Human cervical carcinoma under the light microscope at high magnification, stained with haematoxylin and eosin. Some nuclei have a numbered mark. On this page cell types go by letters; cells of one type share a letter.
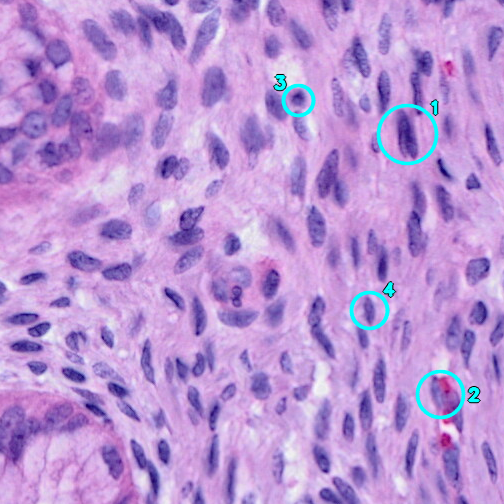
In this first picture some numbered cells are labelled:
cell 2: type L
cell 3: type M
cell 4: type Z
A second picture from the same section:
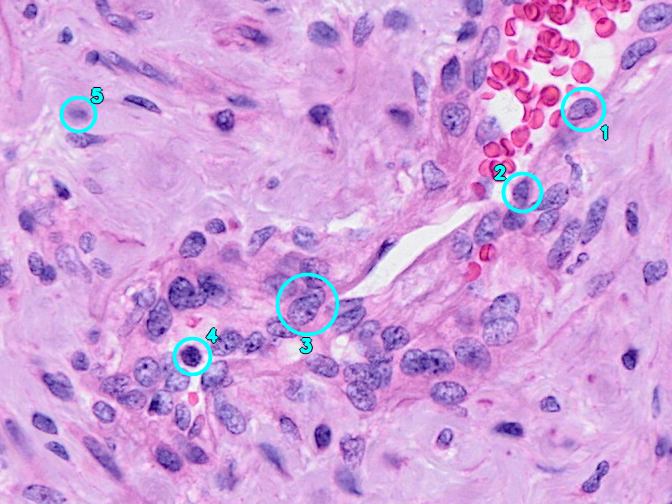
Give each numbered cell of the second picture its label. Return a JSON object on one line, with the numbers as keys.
{"1": "type L", "2": "type L", "3": "type L", "4": "type M", "5": "type Z"}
